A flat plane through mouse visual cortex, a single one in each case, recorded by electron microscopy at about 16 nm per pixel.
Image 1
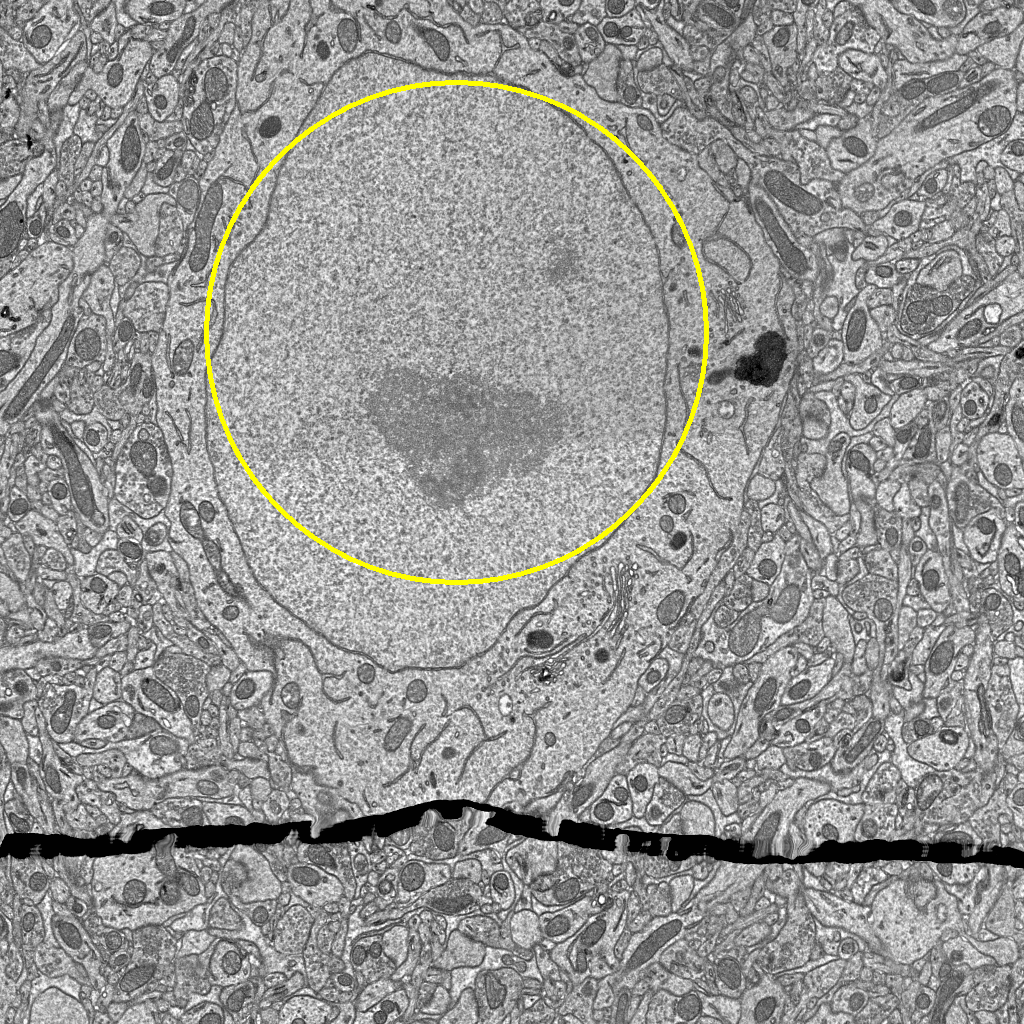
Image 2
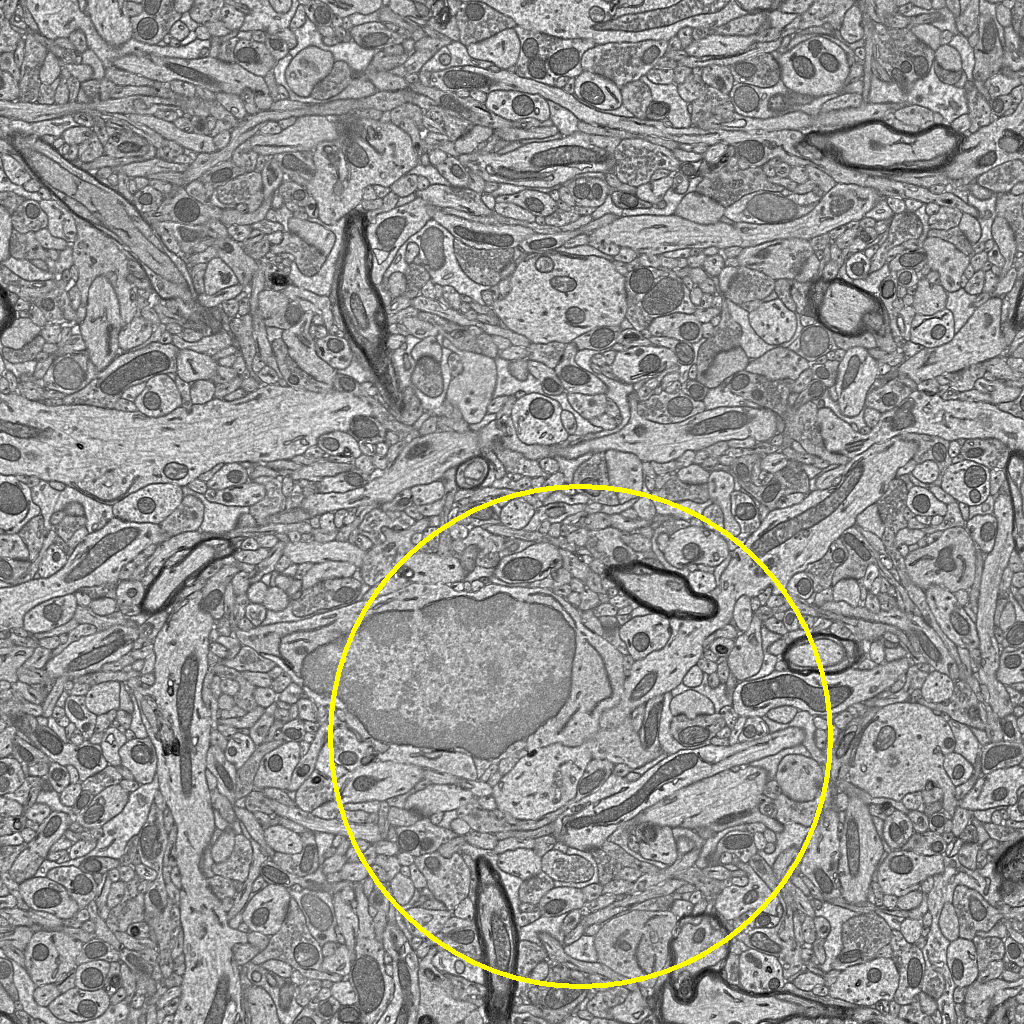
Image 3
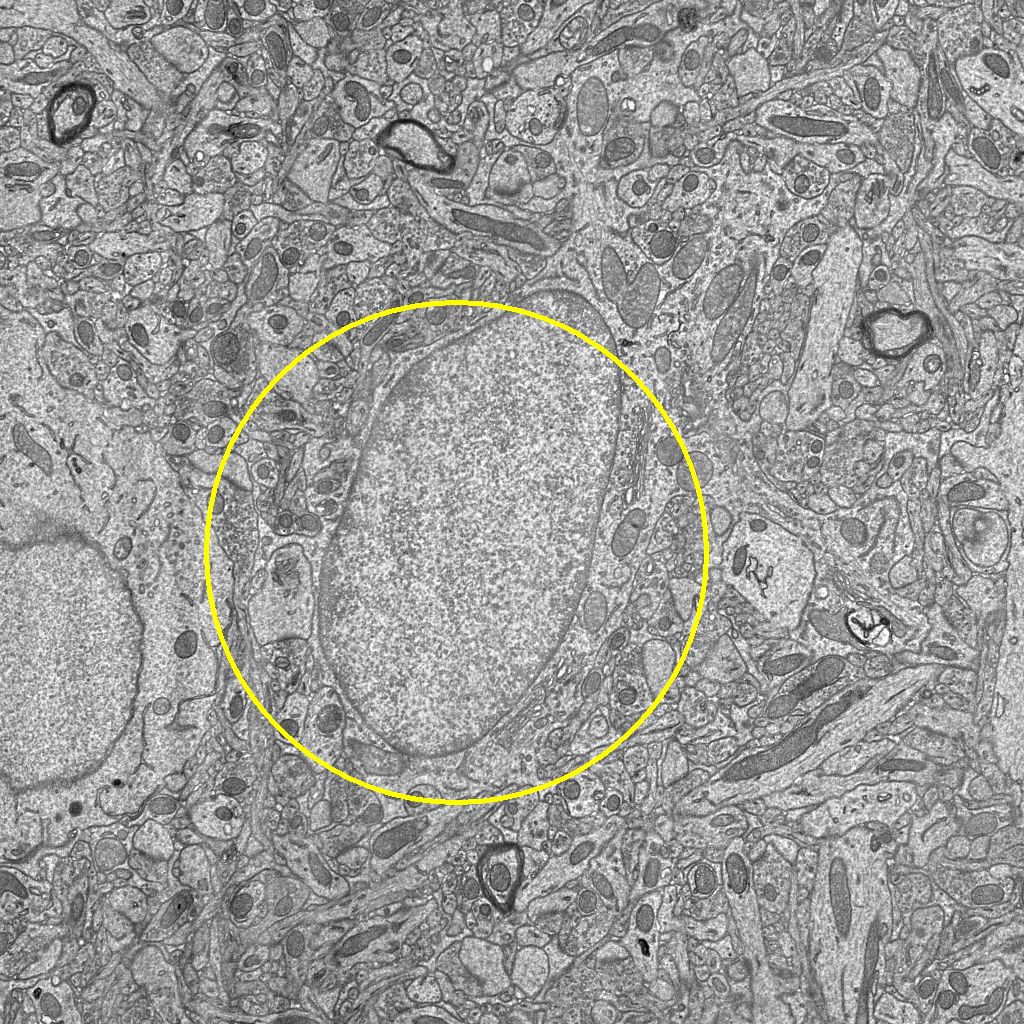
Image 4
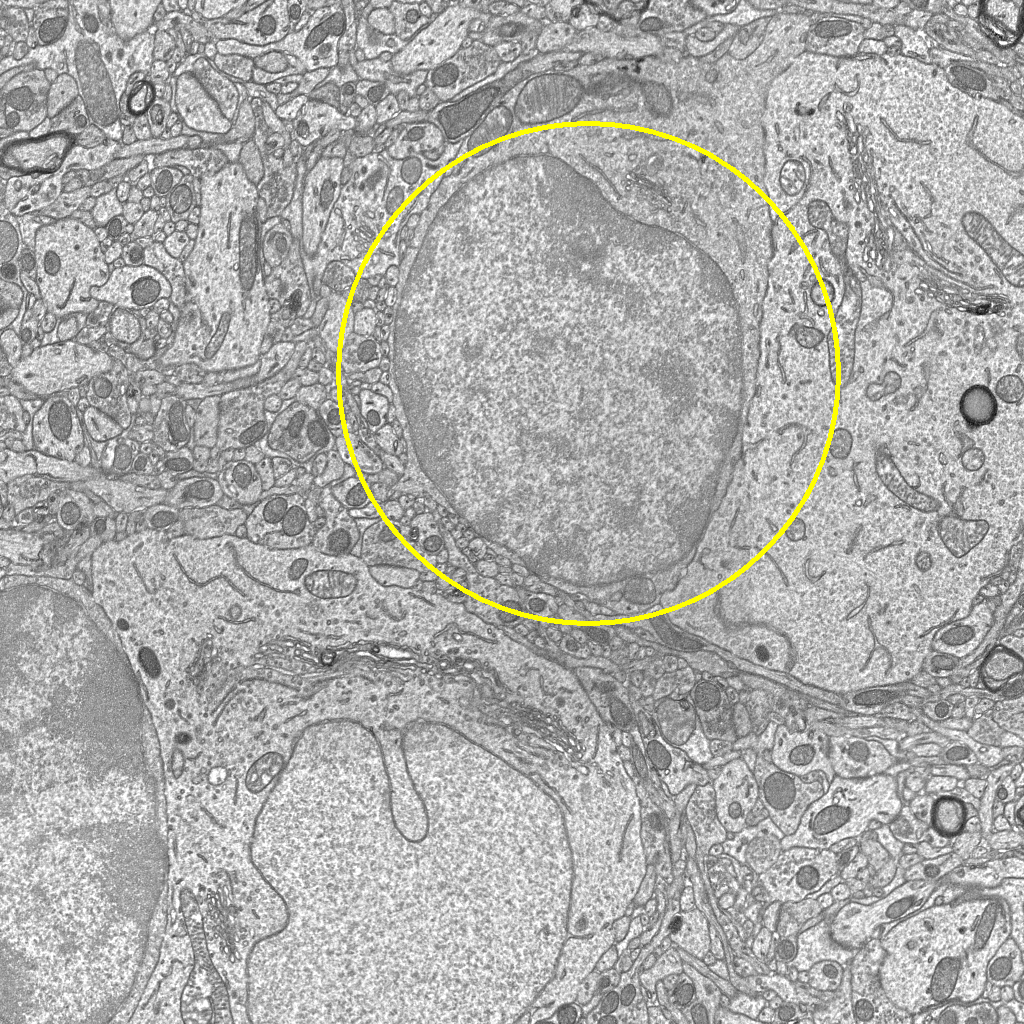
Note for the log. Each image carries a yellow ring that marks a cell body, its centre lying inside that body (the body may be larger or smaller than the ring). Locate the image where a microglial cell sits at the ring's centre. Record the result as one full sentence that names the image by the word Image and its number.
Image 2 has the wanted cell sitting at the centre of its ring.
